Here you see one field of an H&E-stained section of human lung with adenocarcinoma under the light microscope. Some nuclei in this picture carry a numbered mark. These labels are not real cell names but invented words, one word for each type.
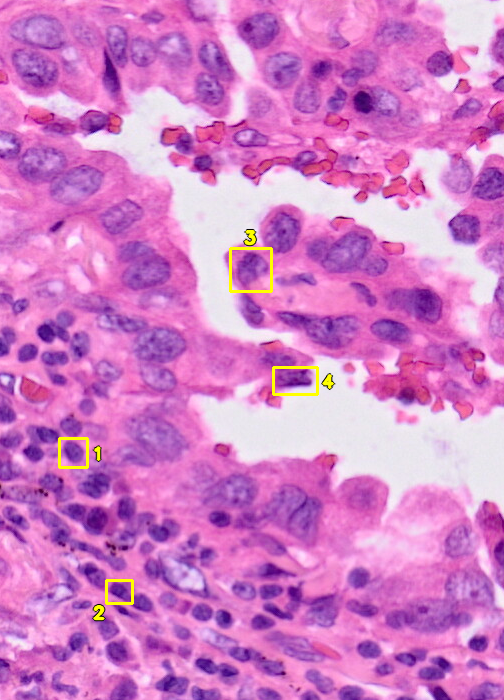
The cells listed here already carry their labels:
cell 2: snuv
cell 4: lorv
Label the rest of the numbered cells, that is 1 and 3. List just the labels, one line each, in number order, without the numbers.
snuv
lorv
